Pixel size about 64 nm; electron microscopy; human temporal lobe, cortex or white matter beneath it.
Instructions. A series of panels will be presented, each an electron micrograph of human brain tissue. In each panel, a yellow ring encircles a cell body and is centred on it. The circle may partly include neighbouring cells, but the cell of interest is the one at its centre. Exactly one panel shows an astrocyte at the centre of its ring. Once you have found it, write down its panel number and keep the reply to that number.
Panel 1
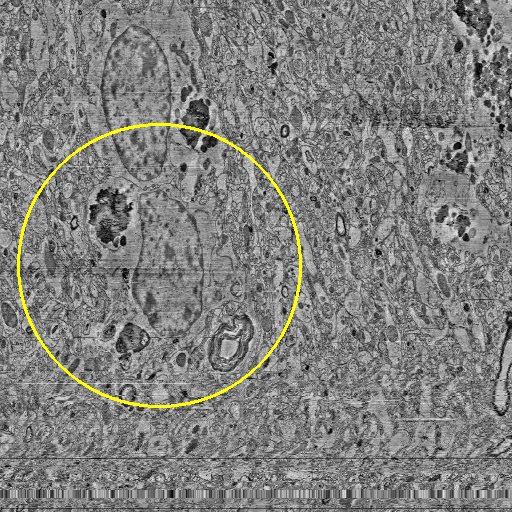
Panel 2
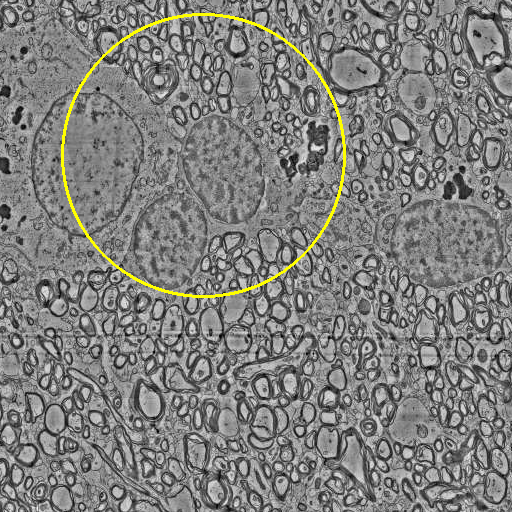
1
